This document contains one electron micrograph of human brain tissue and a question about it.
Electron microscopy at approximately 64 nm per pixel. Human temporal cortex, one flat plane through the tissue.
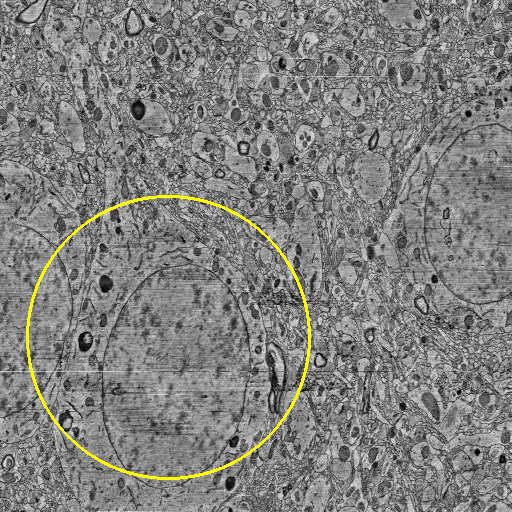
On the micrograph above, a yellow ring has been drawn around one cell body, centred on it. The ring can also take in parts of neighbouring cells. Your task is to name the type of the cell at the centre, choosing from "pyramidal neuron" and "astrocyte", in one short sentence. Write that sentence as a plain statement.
Here the ring is centred on a pyramidal neuron.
